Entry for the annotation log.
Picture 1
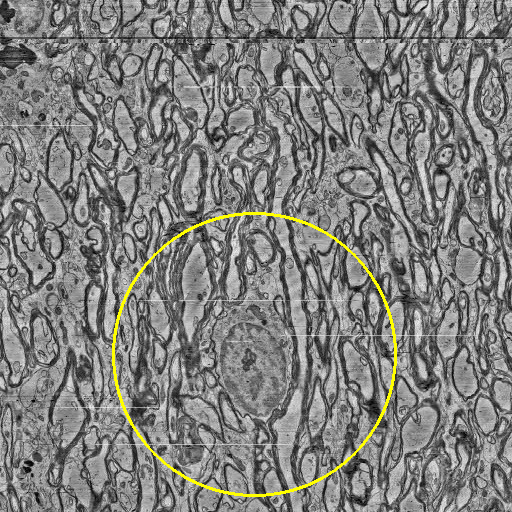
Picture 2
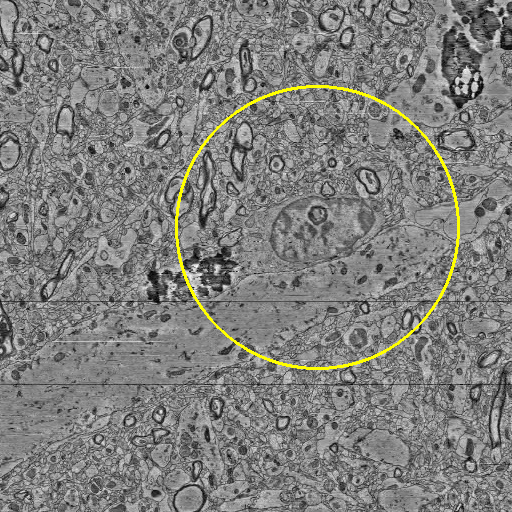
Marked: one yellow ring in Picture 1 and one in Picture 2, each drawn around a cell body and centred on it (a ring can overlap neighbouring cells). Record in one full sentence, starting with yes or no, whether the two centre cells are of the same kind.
Yes, both cells are of the same kind.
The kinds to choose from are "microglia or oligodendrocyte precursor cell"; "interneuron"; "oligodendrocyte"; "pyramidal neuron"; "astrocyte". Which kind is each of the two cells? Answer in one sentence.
Both rings mark an oligodendrocyte, one in each picture.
